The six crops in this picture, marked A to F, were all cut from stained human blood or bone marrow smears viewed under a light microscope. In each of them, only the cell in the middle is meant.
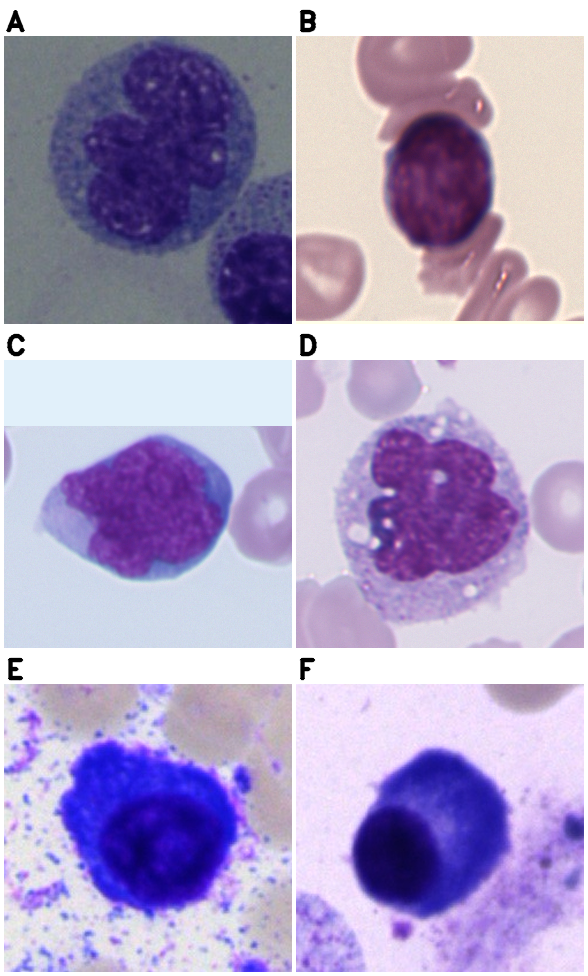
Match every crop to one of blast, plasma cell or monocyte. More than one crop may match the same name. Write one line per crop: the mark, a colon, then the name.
A: monocyte
B: blast
C: blast
D: monocyte
E: plasma cell
F: plasma cell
